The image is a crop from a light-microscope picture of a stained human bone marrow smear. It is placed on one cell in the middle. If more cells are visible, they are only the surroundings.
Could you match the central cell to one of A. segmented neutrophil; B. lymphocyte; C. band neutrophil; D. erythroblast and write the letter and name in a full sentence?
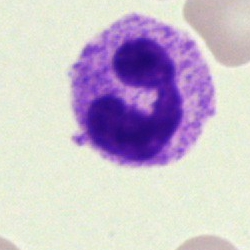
The centrally positioned cell is a segmented neutrophil, consistent with option A, which is correct.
